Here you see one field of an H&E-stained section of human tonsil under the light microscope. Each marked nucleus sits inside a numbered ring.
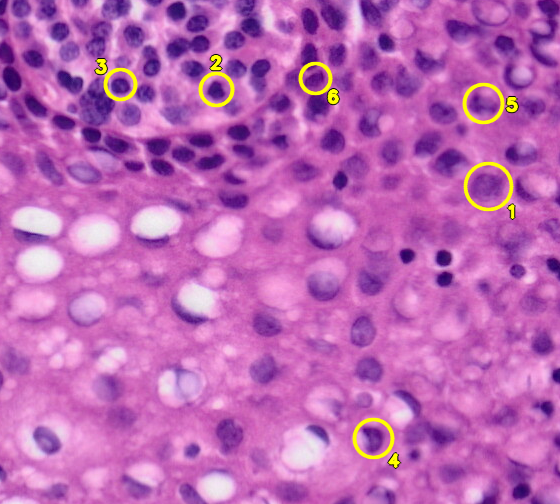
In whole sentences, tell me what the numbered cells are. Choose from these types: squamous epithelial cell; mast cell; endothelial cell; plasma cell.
Cell 1 is a squamous epithelial cell, cell 2 is a plasma cell, cell 3 is a plasma cell, cell 4 is a squamous epithelial cell, cell 5 is a squamous epithelial cell and cell 6 is a squamous epithelial cell.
